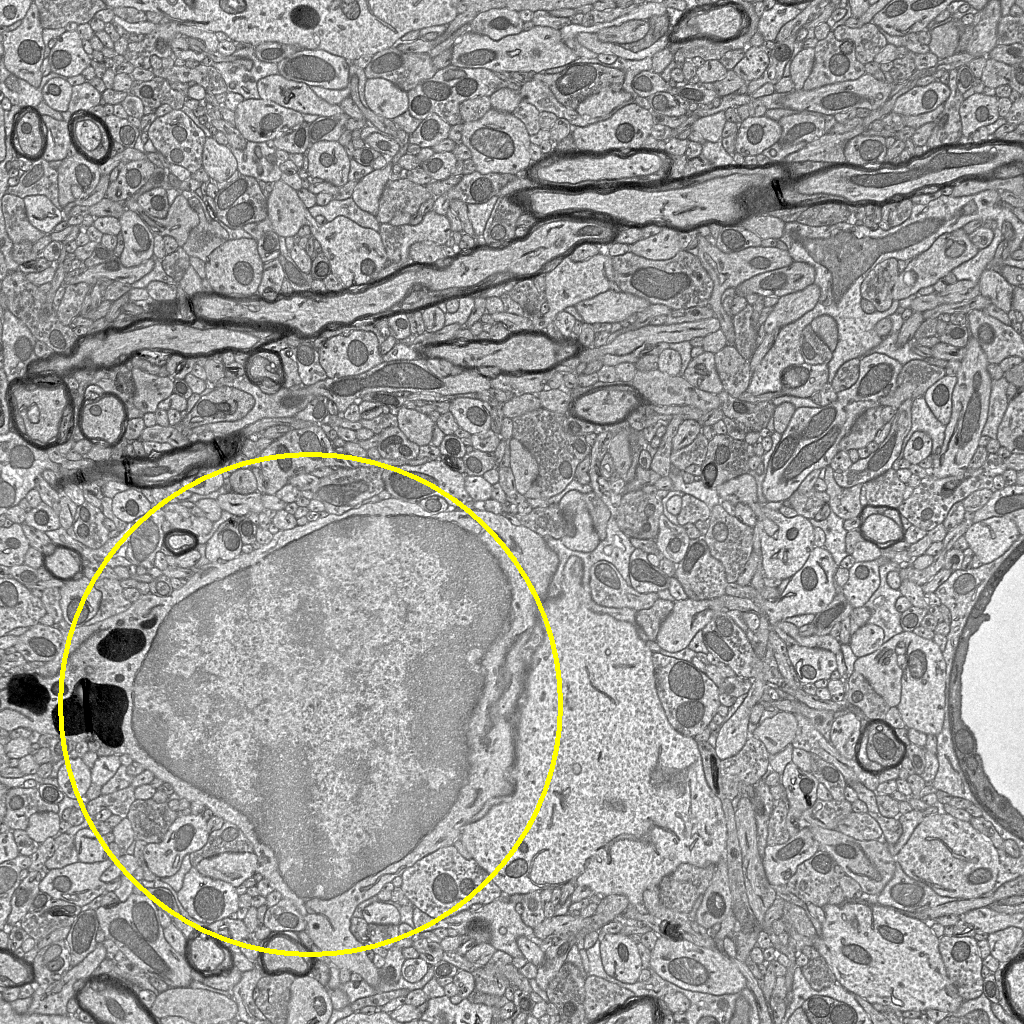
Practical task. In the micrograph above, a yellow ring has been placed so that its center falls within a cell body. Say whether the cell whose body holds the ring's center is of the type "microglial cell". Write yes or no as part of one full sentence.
Yes, the cell whose body holds the ring's center above is of the type asked about.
